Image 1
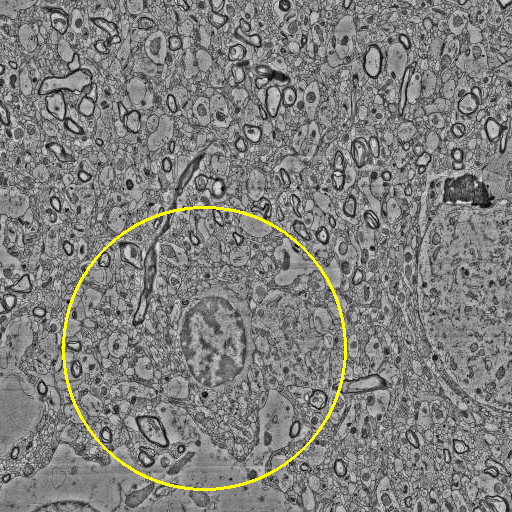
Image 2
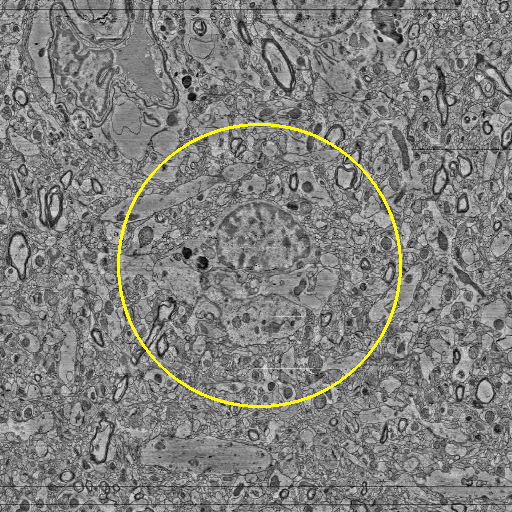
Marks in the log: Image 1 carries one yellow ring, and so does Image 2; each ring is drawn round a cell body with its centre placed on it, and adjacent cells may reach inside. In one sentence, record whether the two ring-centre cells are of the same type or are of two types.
The two cells at the ring centres, one in each image, are of the same type.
